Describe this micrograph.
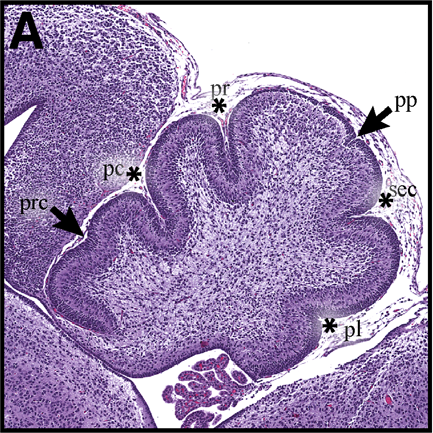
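A dense, dark purple layer of tightly packed small cells covers the whole outer surface and follows it down into each fissure. Beneath it lies a paler core with more loosely scattered nuclei. A small frond of folded, pink and purple tissue lies in the space below the cerebellum.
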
